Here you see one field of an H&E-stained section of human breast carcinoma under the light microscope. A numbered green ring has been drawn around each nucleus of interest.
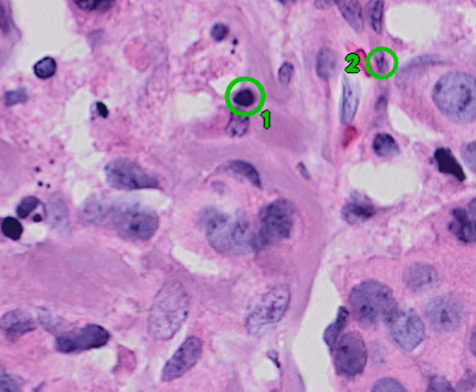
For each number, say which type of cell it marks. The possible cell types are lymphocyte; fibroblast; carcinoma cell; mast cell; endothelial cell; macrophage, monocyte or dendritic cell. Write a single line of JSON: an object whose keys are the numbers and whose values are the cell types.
{"1": "lymphocyte", "2": "endothelial cell"}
